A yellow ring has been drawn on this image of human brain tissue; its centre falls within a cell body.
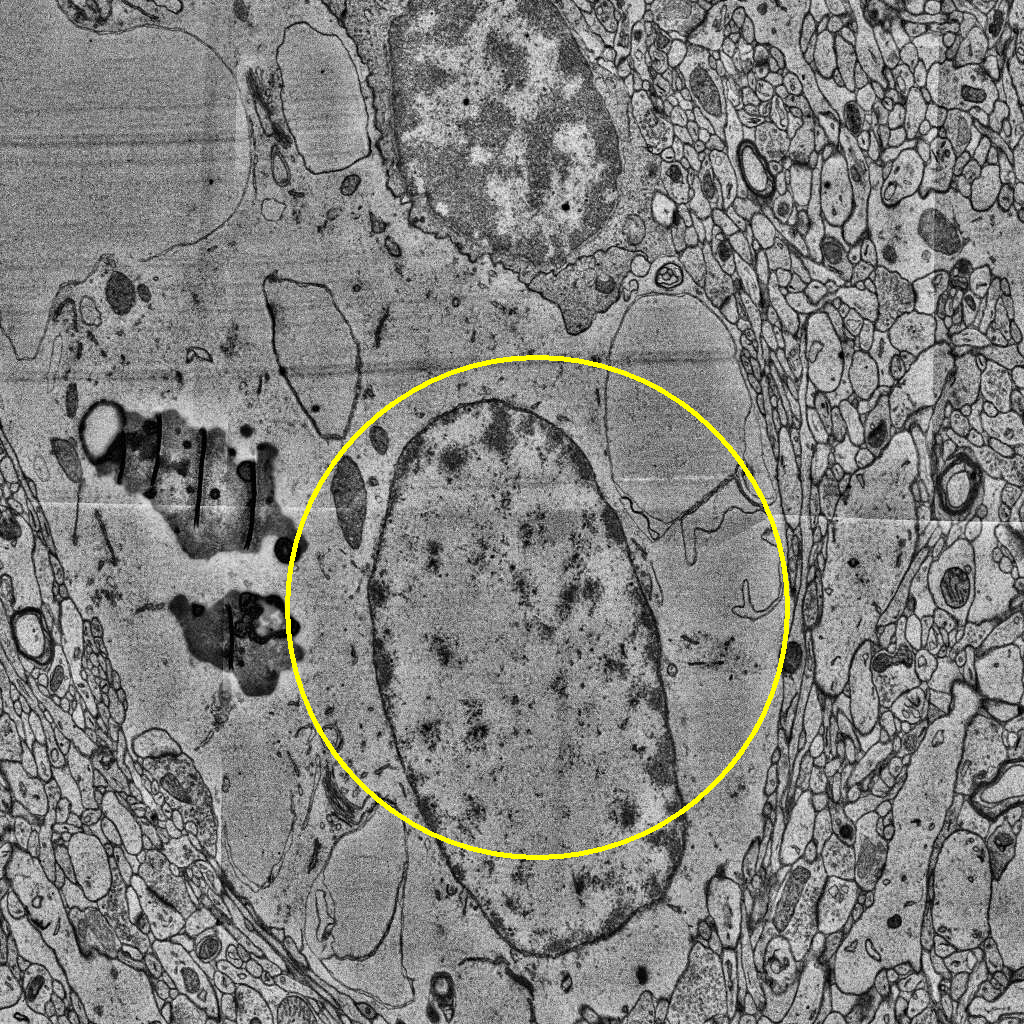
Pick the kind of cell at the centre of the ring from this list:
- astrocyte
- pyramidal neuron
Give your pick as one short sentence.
The centre of the ring holds an astrocyte.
